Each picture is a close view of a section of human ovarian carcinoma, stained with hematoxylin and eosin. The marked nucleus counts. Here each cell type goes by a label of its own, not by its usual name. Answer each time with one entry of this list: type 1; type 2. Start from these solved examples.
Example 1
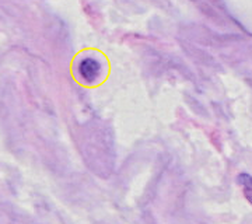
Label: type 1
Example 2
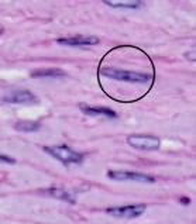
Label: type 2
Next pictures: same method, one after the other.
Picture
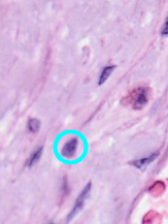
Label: type 1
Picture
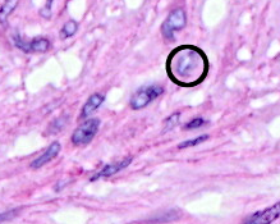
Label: type 2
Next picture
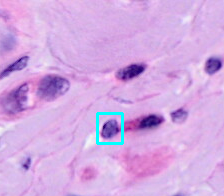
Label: type 1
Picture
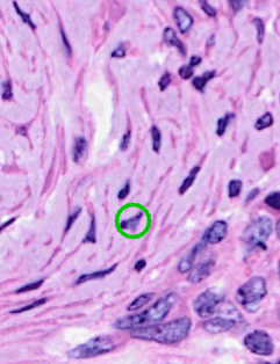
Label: type 2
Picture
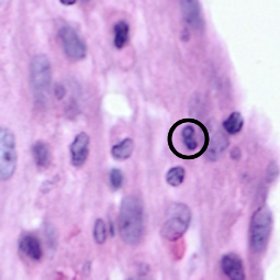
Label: type 1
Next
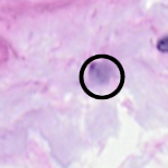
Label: type 2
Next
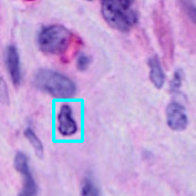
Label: type 1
